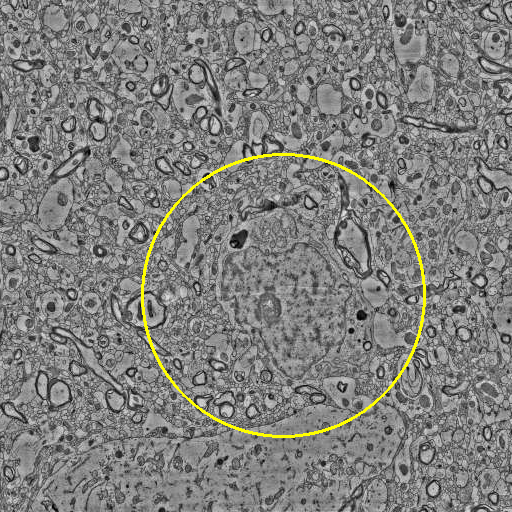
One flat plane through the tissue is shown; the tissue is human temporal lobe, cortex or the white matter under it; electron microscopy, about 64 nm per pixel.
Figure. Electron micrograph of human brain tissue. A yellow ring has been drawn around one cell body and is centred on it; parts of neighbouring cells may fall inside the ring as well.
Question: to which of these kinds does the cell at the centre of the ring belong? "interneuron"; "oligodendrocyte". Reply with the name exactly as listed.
interneuron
